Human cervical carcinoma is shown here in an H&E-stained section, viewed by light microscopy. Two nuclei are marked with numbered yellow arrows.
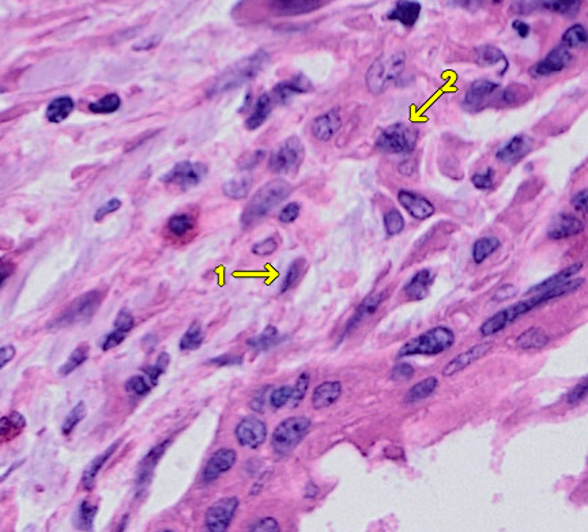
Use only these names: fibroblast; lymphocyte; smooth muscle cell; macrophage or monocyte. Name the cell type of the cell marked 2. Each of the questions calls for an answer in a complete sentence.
Numbered cell 2 is a macrophage or monocyte in this tissue section.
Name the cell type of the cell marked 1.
The cell numbered 1 represents a fibroblast.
